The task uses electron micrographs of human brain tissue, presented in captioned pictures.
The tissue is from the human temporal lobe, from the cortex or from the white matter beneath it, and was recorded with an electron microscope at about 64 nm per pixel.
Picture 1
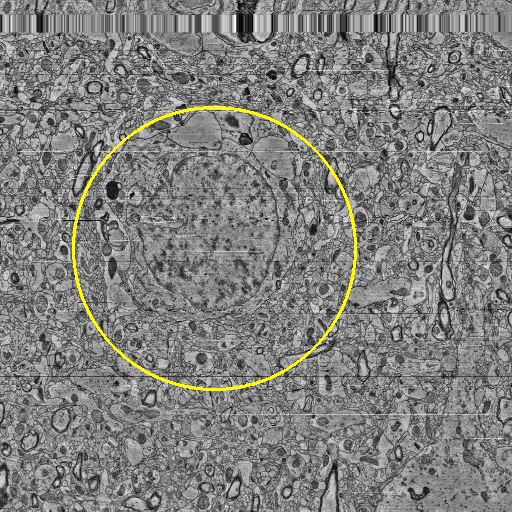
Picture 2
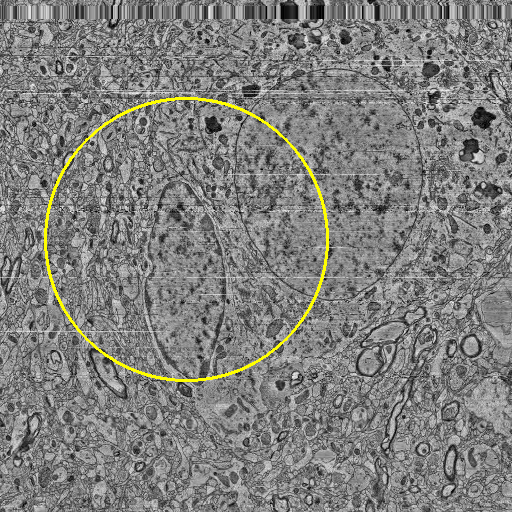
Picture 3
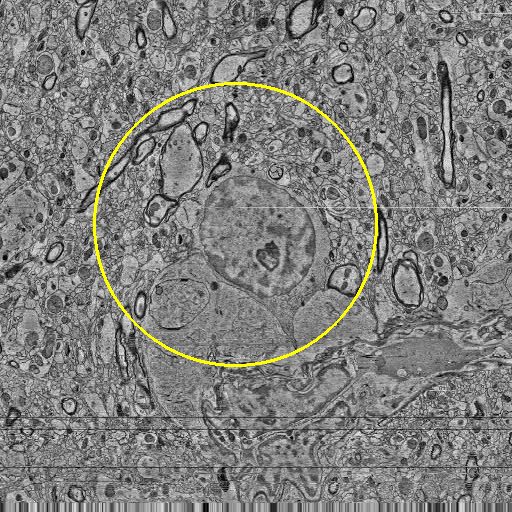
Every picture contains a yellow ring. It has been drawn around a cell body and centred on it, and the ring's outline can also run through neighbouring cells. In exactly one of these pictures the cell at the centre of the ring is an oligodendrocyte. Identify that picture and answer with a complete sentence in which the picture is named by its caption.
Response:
The ring in Picture 3 is centred on that kind of cell.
